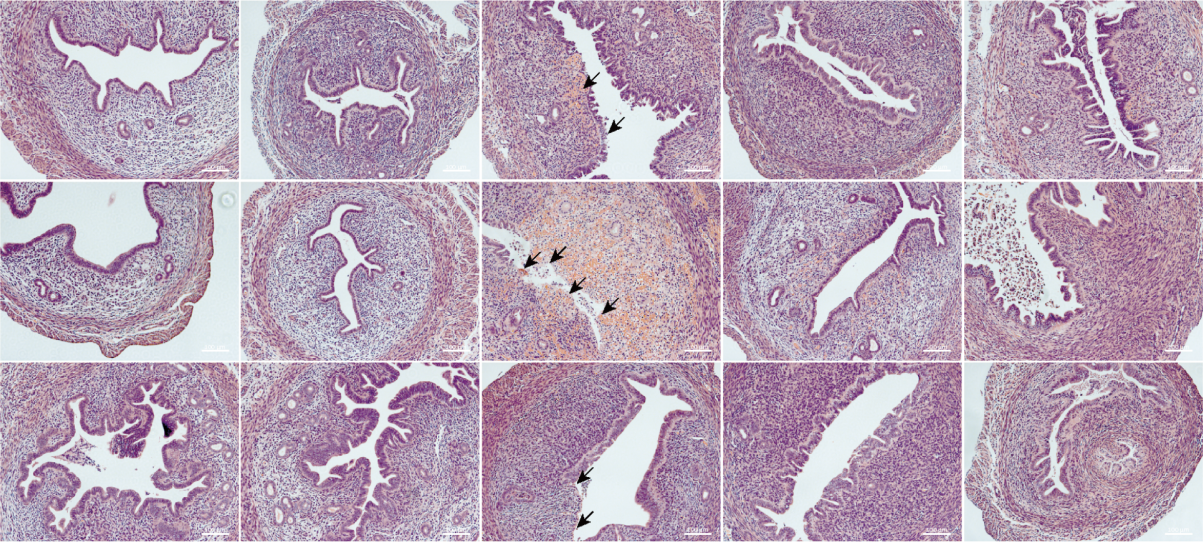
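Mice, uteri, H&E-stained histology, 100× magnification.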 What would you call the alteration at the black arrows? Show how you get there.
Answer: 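The black arrows point at the epithelium lining the lumen. Where the arrows point, the epithelial lining is ragged and broken compared with the smooth continuous lining in other sections.
Conclusion: Epithelial injury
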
